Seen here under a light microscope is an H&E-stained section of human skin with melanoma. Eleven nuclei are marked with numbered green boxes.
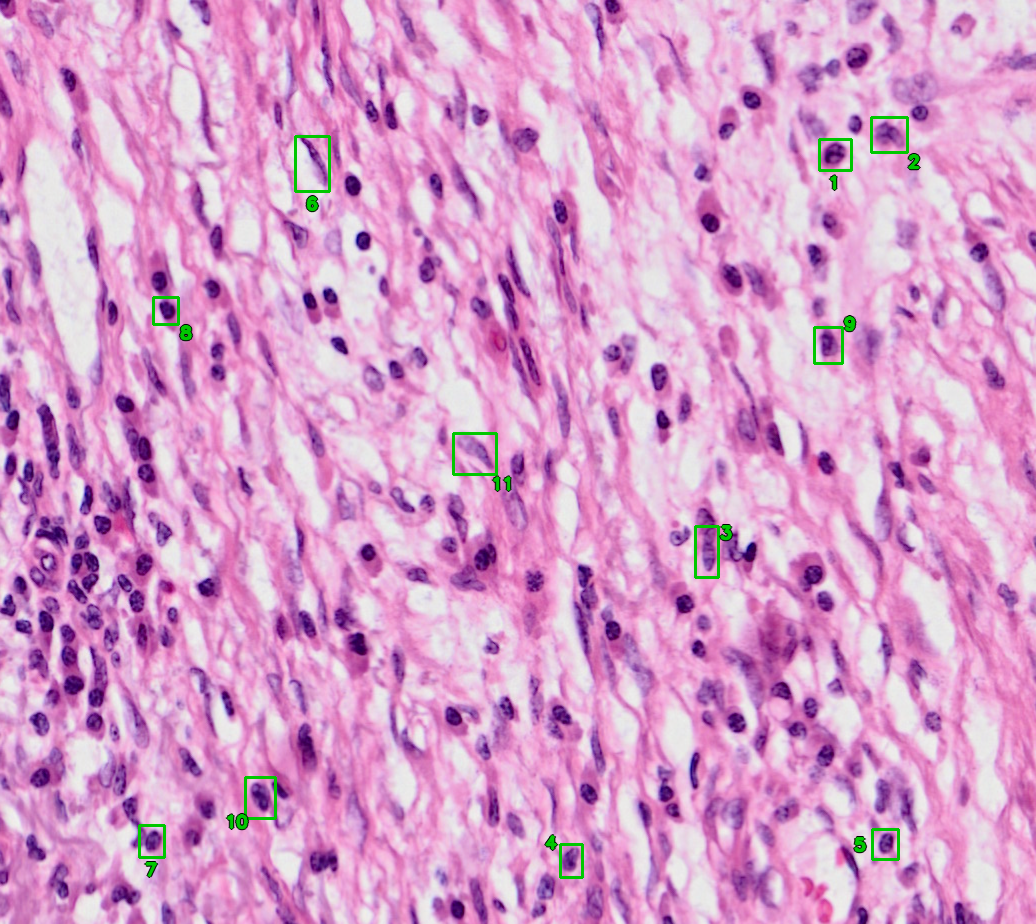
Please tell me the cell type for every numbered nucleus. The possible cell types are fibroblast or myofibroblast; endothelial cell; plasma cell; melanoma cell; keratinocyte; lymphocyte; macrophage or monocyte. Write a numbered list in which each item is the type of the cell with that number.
1. plasma cell
2. macrophage or monocyte
3. macrophage or monocyte
4. lymphocyte
5. lymphocyte
6. fibroblast or myofibroblast
7. lymphocyte
8. plasma cell
9. macrophage or monocyte
10. lymphocyte
11. macrophage or monocyte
